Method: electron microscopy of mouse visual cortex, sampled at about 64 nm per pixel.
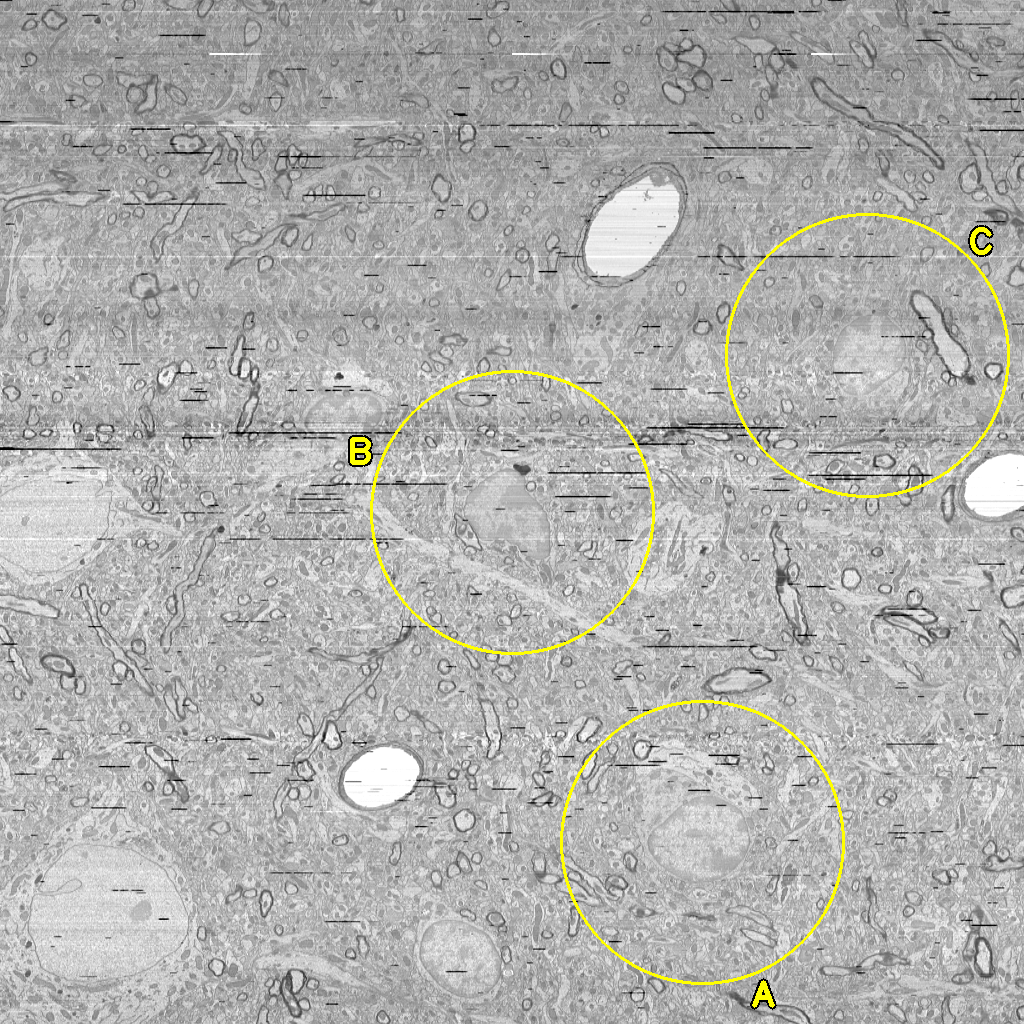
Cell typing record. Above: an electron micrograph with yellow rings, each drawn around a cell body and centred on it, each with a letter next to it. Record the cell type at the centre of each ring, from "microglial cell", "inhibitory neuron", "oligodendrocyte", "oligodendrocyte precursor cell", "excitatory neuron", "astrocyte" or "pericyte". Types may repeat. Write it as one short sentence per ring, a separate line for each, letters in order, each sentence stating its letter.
Ring A circles an oligodendrocyte.
Ring B circles a microglial cell.
Ring C circles an oligodendrocyte.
